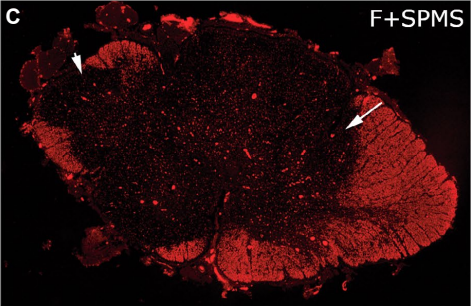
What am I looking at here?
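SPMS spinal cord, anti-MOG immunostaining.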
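The centre and much of the white matter appear dark, with only faint speckles of red scattered through them. A band of preserved bright red myelin with fine radial striations remains along the right edge and in a small patch at the upper left. The boundary between the dark lesion and the preserved rim is fairly sharp, which is where the arrows point. The normal butterfly outline of the grey matter can no longer be made out against the white matter.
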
